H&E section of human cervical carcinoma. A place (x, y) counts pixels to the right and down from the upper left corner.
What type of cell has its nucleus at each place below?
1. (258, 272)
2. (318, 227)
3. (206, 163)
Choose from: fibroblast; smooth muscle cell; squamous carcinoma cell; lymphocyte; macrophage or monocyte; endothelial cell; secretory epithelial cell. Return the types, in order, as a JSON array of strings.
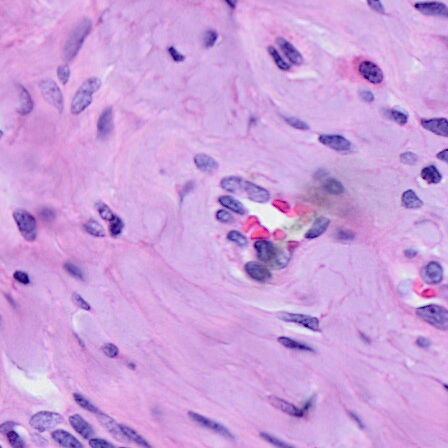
["endothelial cell", "endothelial cell", "fibroblast"]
